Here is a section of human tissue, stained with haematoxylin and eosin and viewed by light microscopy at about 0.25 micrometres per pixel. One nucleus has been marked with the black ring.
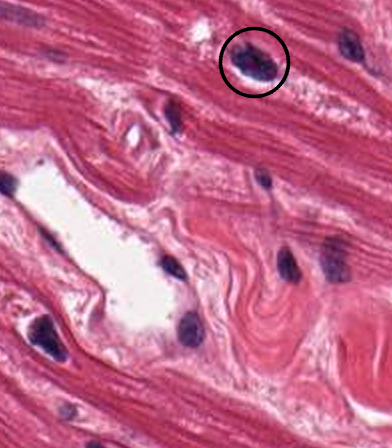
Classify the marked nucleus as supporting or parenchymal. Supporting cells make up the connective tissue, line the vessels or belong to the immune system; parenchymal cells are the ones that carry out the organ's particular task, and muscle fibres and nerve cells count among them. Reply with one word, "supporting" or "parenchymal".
parenchymal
